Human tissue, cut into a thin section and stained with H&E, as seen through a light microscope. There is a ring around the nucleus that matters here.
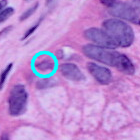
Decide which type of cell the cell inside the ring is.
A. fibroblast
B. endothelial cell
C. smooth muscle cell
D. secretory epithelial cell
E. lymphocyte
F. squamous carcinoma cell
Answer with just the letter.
D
